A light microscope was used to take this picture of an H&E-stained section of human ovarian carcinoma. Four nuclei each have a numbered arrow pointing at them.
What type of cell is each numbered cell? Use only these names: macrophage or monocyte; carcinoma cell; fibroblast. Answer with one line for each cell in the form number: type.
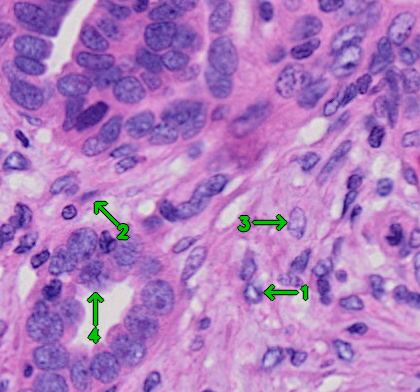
1: fibroblast
2: fibroblast
3: fibroblast
4: carcinoma cell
